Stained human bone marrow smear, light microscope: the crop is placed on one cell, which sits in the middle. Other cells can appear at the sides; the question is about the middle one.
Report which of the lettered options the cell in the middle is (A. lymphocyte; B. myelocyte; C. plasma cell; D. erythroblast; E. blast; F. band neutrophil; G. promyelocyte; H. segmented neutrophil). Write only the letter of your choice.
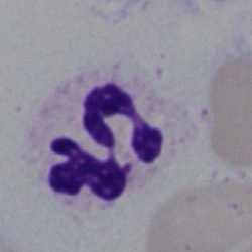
H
